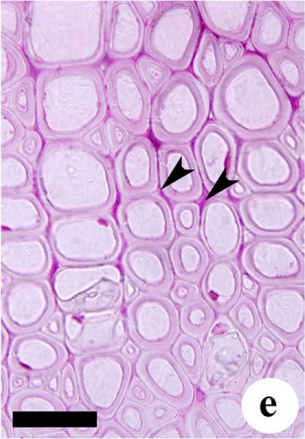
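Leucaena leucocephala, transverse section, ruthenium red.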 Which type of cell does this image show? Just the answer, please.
Mature fibres.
